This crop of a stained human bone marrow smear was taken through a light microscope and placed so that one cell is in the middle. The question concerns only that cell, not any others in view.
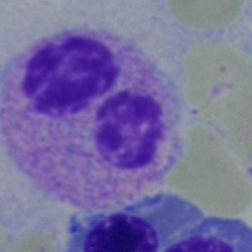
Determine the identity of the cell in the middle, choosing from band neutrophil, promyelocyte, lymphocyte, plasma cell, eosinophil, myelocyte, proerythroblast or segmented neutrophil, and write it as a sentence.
The cell the crop is centered on is a segmented neutrophil.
